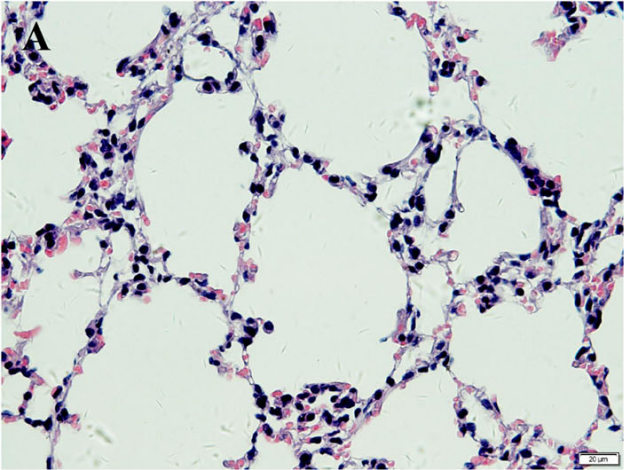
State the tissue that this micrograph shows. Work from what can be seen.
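Large, empty, polygonal air spaces fill most of the field. The spaces are separated by thin septa only one to a few cells thick. Red blood cells lie within the thin septa.
Lung tissue.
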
